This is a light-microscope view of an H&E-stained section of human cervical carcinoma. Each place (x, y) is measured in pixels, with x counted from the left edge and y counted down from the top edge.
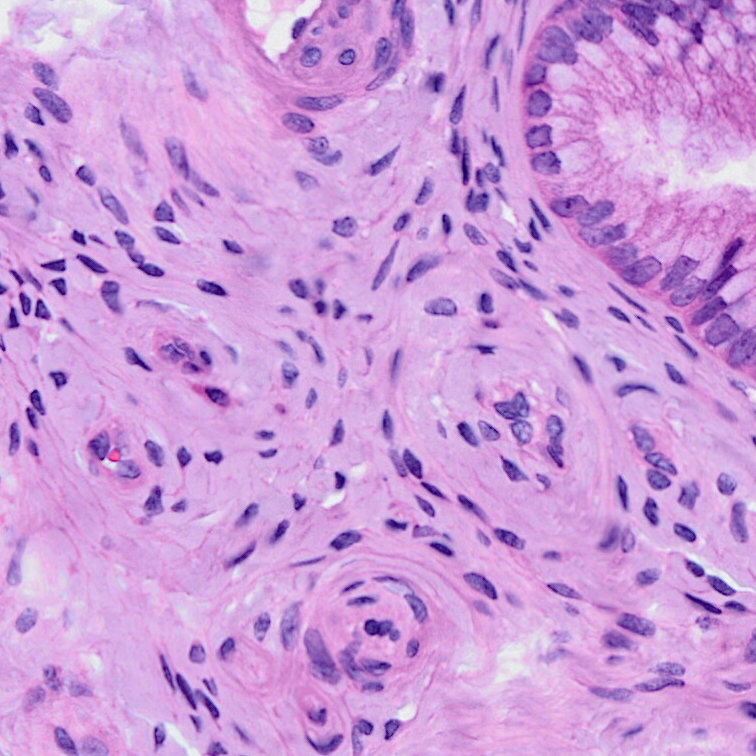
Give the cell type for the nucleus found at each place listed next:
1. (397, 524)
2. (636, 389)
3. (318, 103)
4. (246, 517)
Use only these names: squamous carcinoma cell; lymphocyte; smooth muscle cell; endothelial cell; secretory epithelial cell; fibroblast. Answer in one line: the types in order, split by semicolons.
fibroblast; fibroblast; smooth muscle cell; fibroblast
